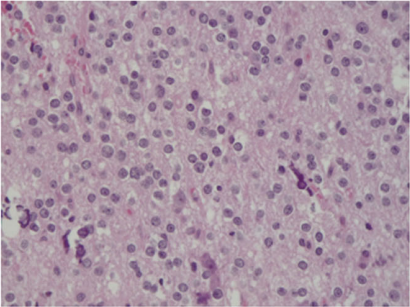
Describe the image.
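This is a densely cellular glial tumour composed of sheets of fairly uniform neoplastic cells with round, regular, dark purple nuclei. Many cells have a rim of clear or pale cytoplasm around the nucleus, giving a perinuclear halo appearance, and they lie evenly spaced in a pale pink fibrillary background. Nuclear pleomorphism is mild. Scattered small clear vacuolated spaces are present. No necrosis is visible in this field.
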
